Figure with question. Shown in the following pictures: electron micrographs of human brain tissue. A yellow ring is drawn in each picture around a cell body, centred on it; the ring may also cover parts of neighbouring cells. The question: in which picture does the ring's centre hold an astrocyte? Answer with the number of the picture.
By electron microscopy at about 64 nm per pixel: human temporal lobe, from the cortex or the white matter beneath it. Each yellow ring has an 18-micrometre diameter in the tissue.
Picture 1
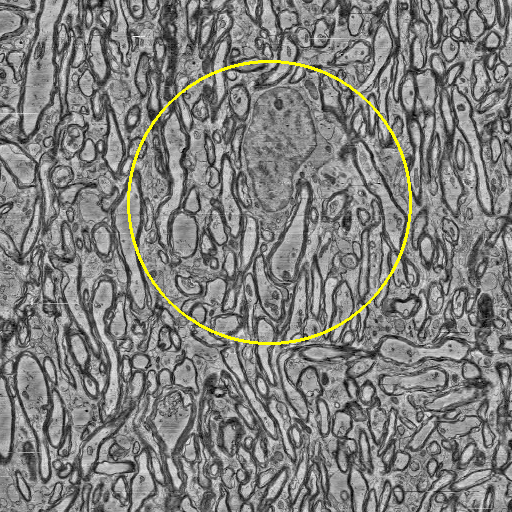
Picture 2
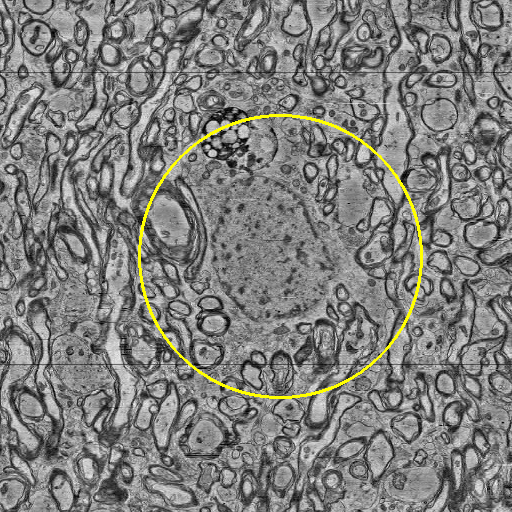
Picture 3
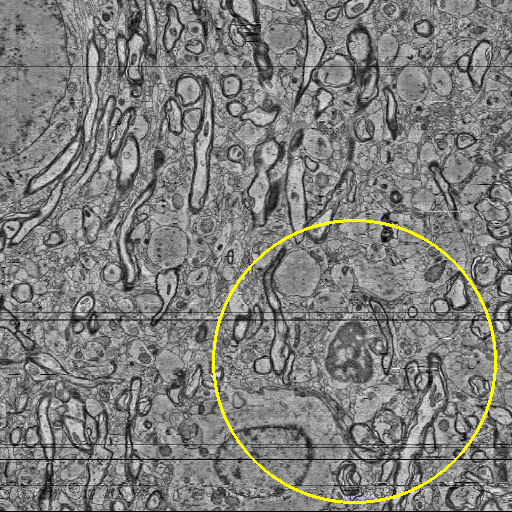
2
